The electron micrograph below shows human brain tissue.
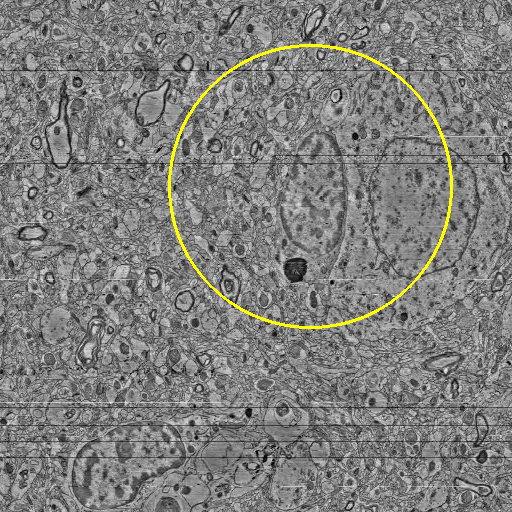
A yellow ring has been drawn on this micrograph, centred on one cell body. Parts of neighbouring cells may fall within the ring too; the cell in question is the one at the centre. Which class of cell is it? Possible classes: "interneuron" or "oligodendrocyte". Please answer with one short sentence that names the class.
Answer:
In the centre of the ring sits an oligodendrocyte.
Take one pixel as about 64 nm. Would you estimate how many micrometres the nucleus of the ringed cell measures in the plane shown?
The nucleus of the ringed cell is approximately 8 by 4 micrometres in this plane.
